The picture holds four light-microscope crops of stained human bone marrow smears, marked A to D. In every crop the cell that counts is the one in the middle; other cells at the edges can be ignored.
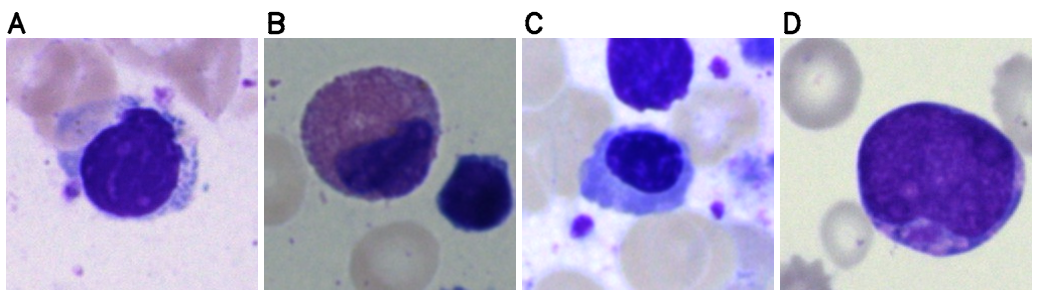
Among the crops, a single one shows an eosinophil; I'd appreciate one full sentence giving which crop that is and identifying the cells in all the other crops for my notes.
Crop B is where an eosinophil is shown, whereas crop A is a lymphocyte, crop C is an erythroblast and crop D is a blast.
